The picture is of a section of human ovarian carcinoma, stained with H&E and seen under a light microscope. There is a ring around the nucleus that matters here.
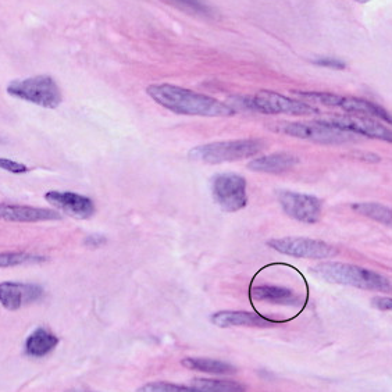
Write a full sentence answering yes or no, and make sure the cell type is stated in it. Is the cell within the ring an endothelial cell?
No, an endothelial cell is not what the cell within the ring is; it is a smooth muscle cell.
